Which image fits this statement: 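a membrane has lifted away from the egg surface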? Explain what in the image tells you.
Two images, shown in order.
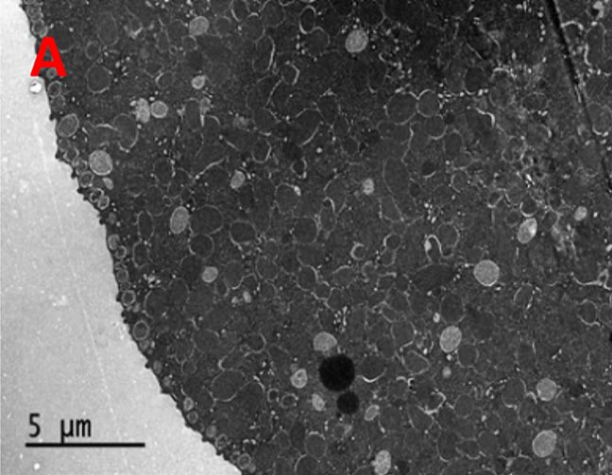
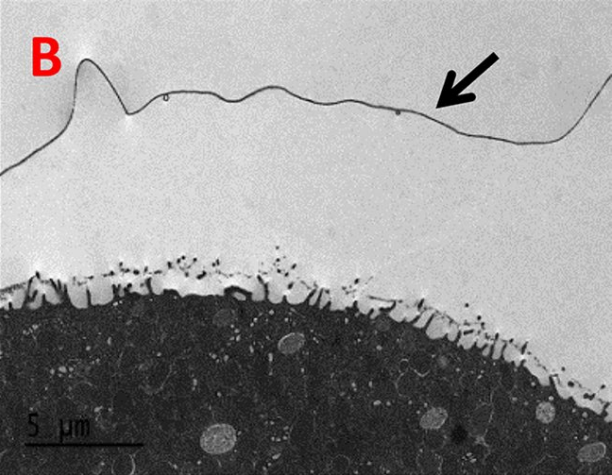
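Second image: a thin dark line lies well above the egg surface, separated by a clear space. First image: no separate membrane is seen above the egg surface.
Conclusion: the second image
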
